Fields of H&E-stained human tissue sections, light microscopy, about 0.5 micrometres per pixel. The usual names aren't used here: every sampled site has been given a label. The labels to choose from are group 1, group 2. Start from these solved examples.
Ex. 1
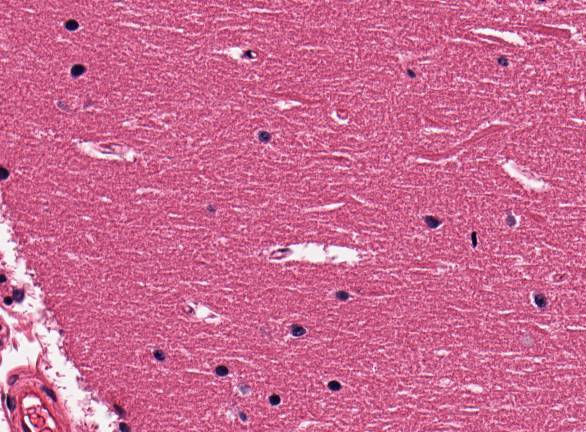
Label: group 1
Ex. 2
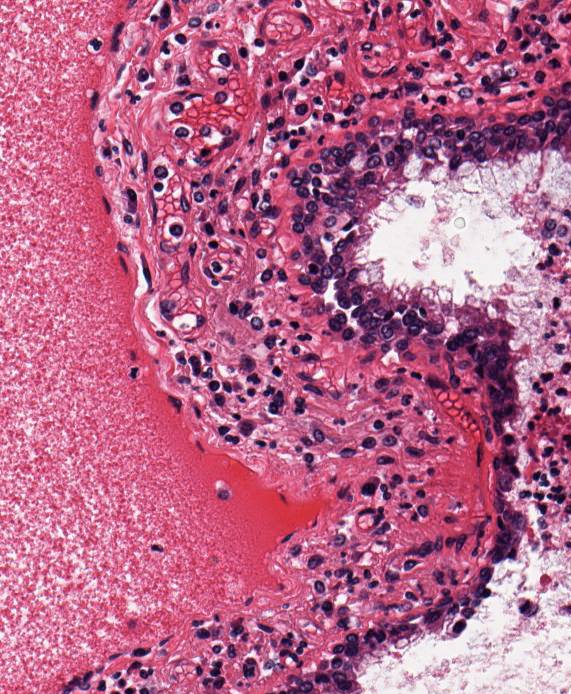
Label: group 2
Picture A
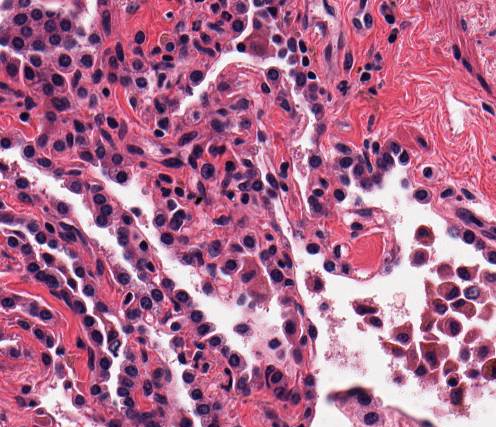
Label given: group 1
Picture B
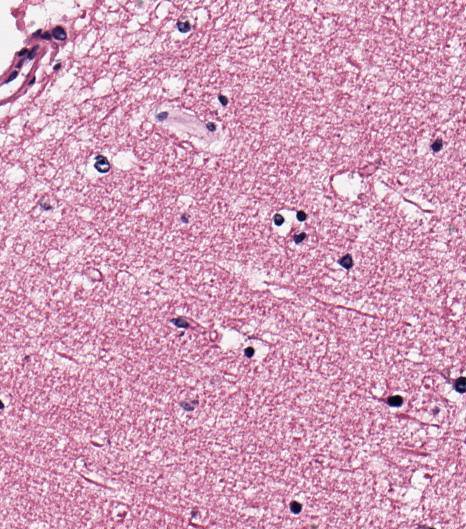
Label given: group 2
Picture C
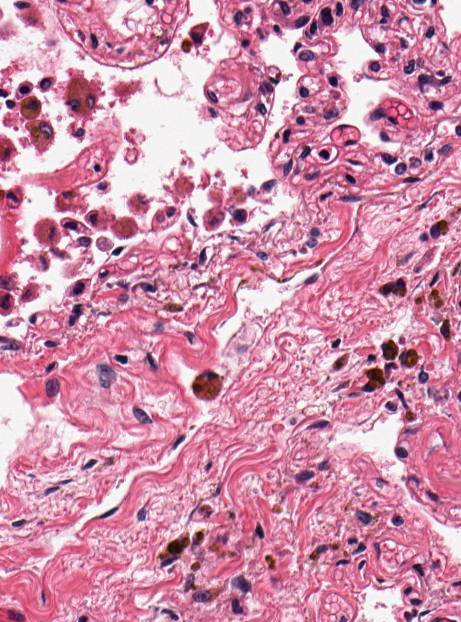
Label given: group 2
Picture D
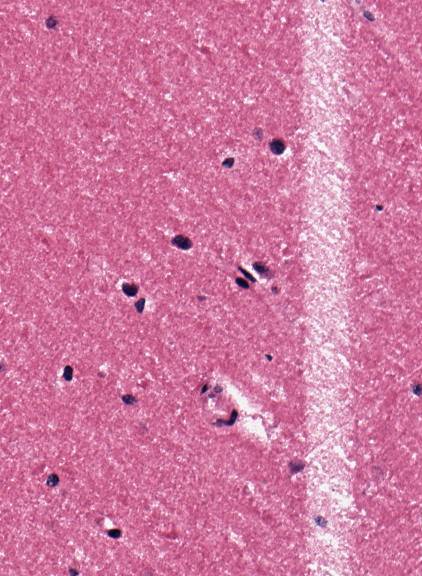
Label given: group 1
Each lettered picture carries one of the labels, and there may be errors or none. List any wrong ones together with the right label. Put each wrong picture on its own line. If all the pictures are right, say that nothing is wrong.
A: group 2, not group 1
B: group 1, not group 2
